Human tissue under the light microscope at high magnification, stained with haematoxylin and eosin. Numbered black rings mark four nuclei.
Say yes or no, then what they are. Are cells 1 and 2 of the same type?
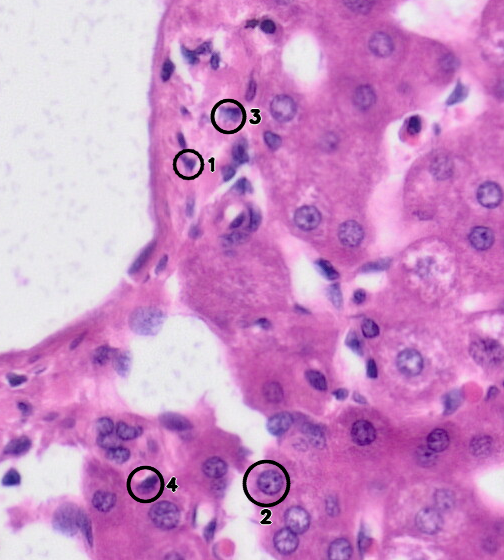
No, cell 1 is a fibroblast or stellate cell, but cell 2 is a hepatocyte.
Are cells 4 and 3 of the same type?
Yes, and to be precise, cells 4 and 3 are both fibroblasts or stellate cells.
